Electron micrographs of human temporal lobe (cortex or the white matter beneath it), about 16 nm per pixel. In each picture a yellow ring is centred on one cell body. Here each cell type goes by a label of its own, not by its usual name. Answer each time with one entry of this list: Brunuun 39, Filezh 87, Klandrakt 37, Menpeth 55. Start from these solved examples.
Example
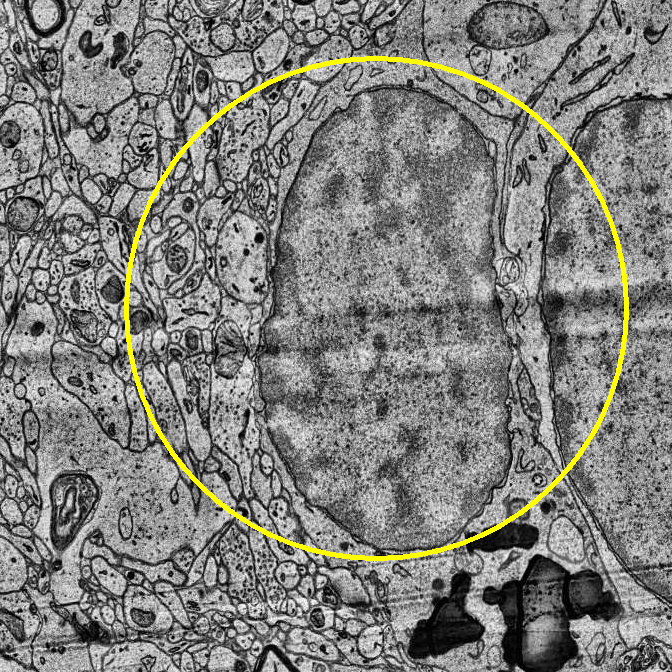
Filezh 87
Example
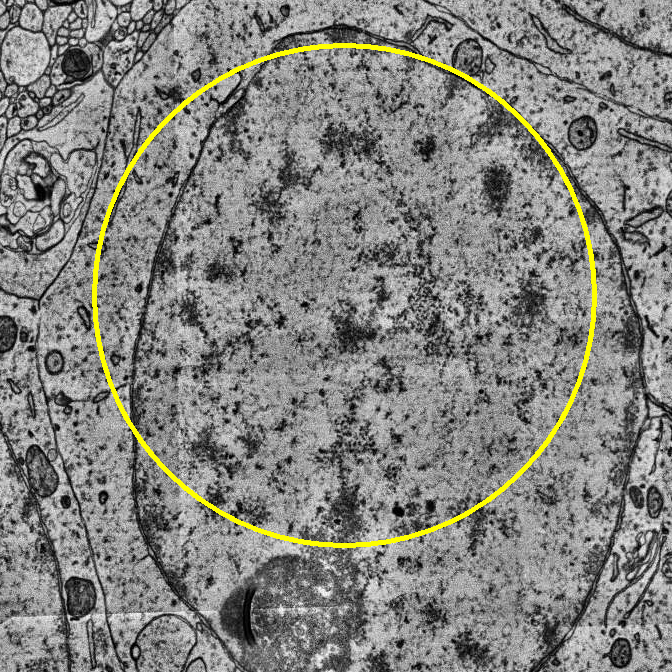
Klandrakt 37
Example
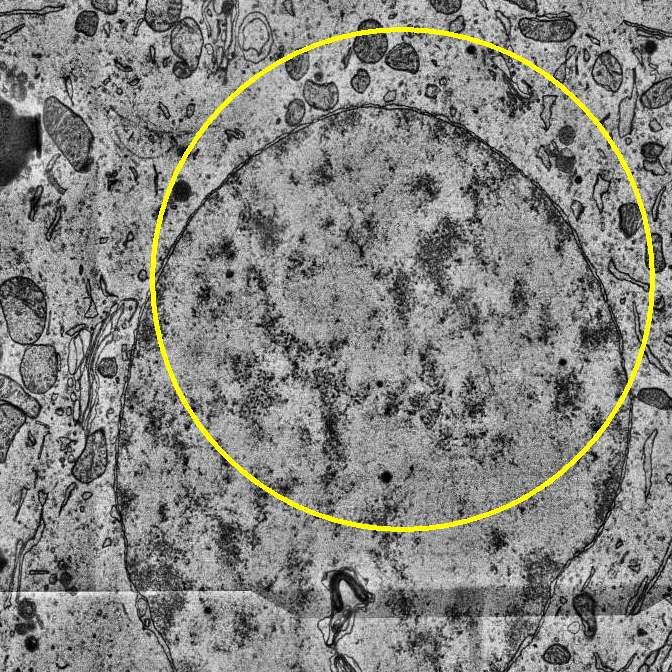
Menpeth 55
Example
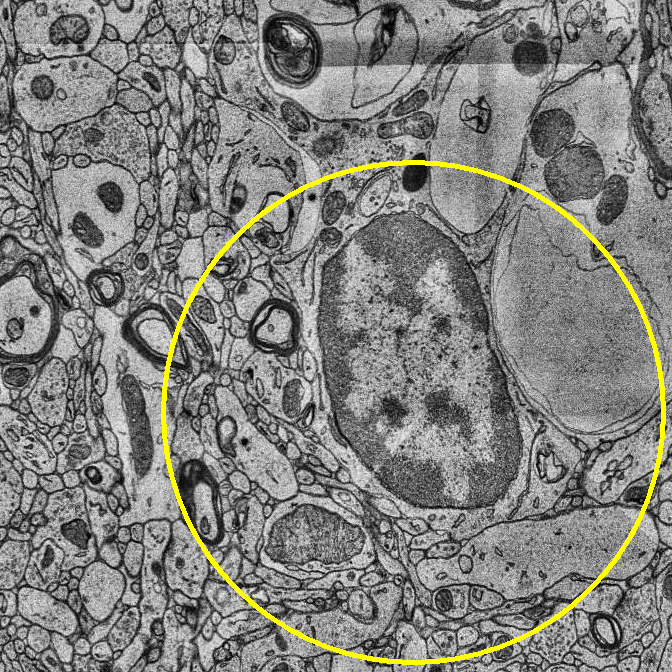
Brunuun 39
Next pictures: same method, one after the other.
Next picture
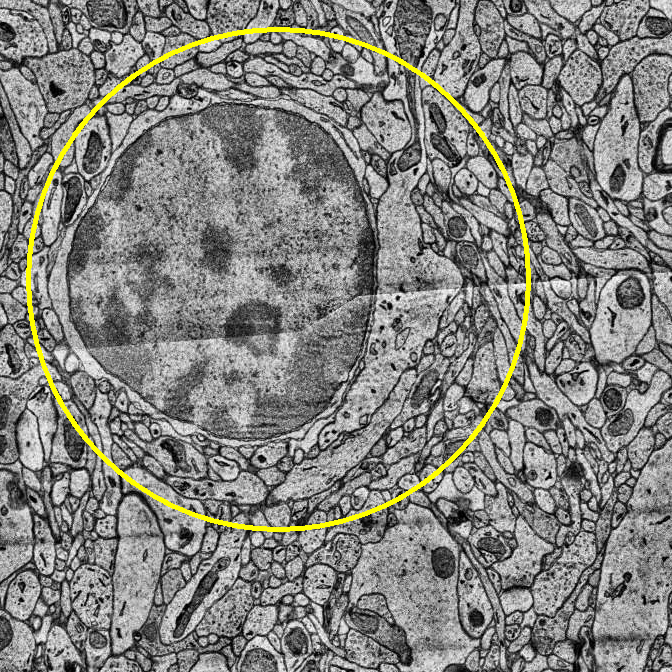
Brunuun 39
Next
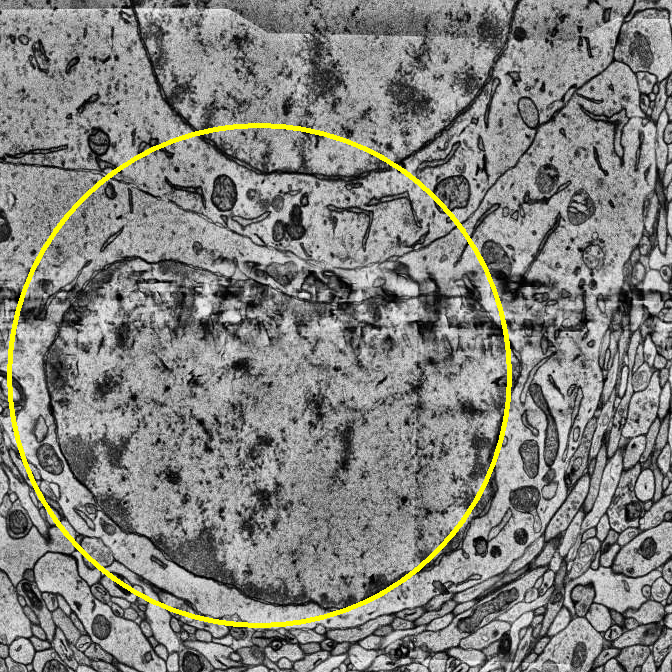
Brunuun 39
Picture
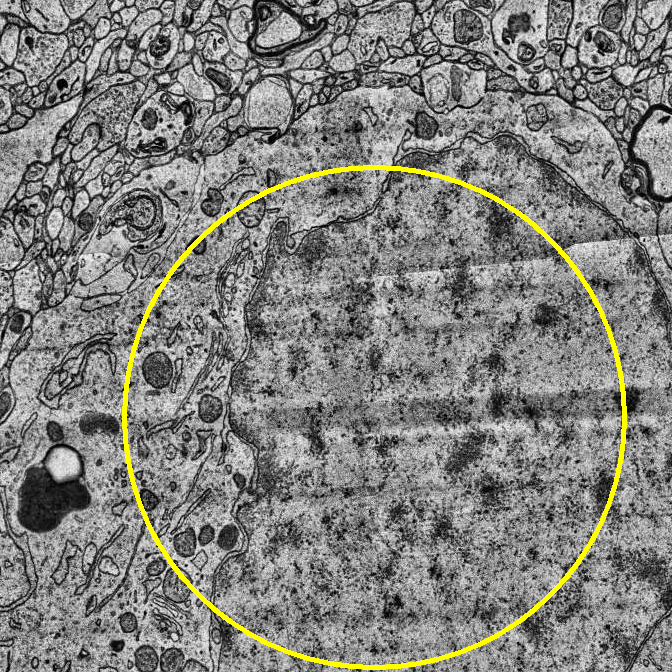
Menpeth 55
